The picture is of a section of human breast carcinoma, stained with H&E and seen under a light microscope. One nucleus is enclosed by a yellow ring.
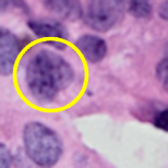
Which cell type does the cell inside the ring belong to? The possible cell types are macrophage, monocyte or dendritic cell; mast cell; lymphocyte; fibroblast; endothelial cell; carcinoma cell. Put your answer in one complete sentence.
As classified here, the cell inside the ring is a carcinoma cell.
